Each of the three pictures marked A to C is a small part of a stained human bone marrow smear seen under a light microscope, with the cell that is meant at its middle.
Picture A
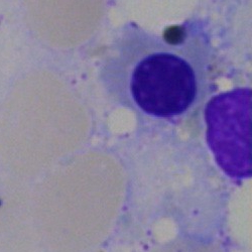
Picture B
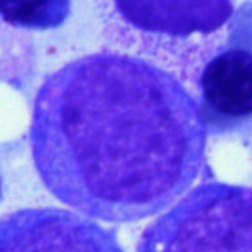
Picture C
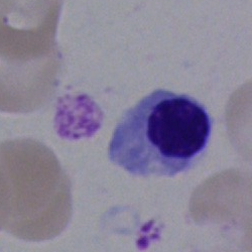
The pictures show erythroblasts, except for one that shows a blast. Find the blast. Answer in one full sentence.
The picture with the blast is B.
